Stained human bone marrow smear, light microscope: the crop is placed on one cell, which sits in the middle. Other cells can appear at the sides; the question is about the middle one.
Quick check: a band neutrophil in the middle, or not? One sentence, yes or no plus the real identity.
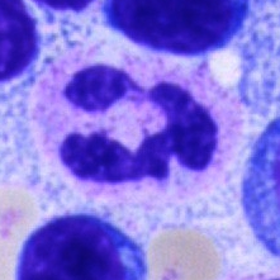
No, the central cell is reported as a segmented neutrophil rather than as a band neutrophil.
